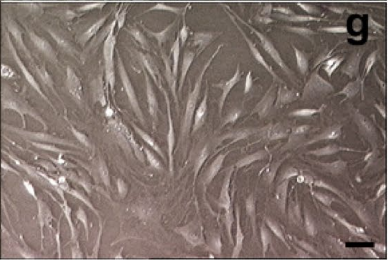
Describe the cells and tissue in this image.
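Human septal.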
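This is a confluent culture of chondrocytes seen in phase contrast, filling the field with elongated cells. Most cells are long and spindle-shaped, with tapering ends. They lie roughly parallel in streams that curve and cross one another in swirling patterns. Small bright rounded bodies are scattered here and there on the surface of the layer.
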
